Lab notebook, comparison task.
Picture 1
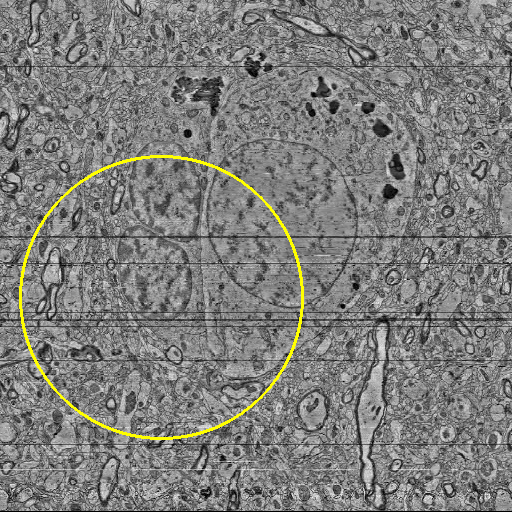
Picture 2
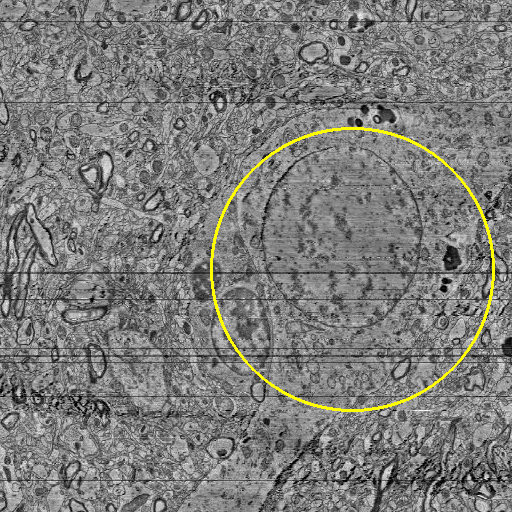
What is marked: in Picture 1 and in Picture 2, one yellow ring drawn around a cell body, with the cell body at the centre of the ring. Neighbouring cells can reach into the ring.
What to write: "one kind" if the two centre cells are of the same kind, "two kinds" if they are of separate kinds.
two kinds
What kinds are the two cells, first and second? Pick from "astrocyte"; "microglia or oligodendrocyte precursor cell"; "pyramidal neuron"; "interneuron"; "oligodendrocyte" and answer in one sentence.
The second picture holds a pyramidal neuron in its ring, and the first holds an oligodendrocyte.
